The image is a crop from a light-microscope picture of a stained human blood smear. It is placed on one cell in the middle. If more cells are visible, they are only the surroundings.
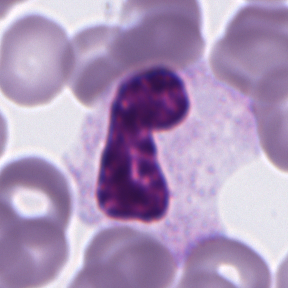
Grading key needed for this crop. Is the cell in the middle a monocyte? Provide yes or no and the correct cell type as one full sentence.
No, the centrally located cell is a band neutrophil rather than a monocyte.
